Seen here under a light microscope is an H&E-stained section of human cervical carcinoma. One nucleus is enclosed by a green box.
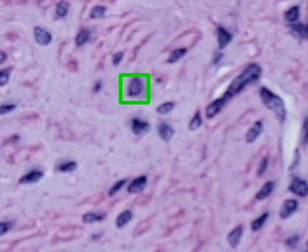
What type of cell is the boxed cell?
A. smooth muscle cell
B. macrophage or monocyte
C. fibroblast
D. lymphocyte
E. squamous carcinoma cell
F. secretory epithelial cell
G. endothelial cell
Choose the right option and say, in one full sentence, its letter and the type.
The statement that the boxed cell is a smooth muscle cell corresponds to option A, the correct one.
